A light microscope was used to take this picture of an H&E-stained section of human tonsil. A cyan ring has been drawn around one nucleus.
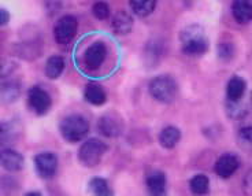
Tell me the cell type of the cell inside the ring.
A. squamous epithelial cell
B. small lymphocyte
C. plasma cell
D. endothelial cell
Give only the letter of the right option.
C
